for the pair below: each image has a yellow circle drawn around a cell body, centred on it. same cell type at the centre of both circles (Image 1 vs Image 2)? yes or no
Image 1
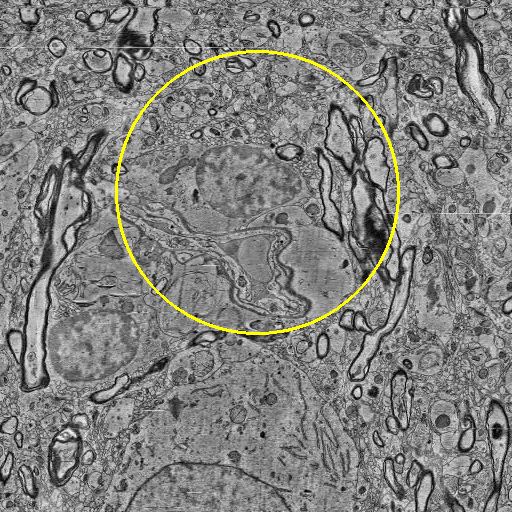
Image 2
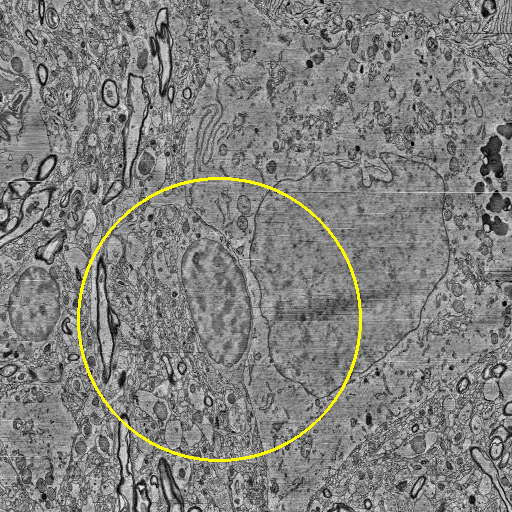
yes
